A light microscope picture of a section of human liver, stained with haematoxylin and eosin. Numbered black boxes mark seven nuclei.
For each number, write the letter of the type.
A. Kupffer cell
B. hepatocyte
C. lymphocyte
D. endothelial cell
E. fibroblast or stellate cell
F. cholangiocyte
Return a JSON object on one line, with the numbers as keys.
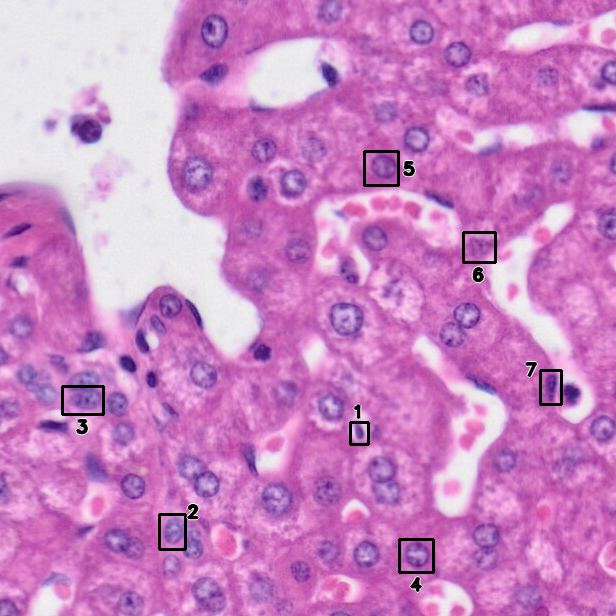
{"1": "C", "2": "F", "3": "F", "4": "B", "5": "B", "6": "B", "7": "E"}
